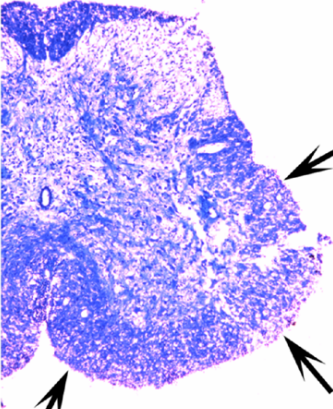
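A cross-section of spinal cord in blue and violet tones: the central grey matter is paler and pinkish-violet with scattered cell bodies, the small central canal lies to the left, and the surrounding white matter stains a deeper blue. Toward the outer edge of the section, at the side and underneath, the blue is uneven, with paler, washed-out and patchy zones where the deep blue of the white matter is reduced. These pale areas in the blue-stained white matter near the surface are areas of demyelination in the spinal cord.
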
